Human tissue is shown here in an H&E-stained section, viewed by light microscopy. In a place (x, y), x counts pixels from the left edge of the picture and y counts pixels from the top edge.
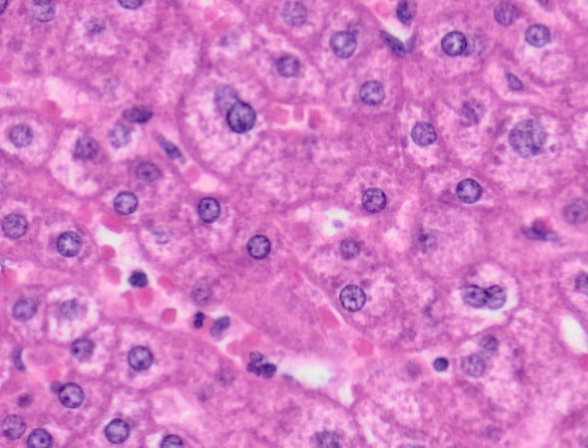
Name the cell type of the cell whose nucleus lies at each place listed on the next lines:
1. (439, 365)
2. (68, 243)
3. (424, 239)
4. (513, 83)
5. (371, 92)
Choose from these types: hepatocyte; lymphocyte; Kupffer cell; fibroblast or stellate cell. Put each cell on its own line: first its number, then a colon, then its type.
1: lymphocyte
2: hepatocyte
3: hepatocyte
4: Kupffer cell
5: hepatocyte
